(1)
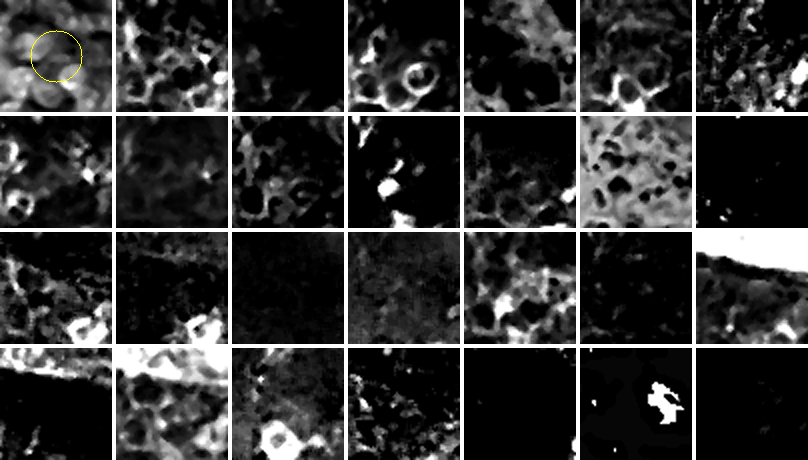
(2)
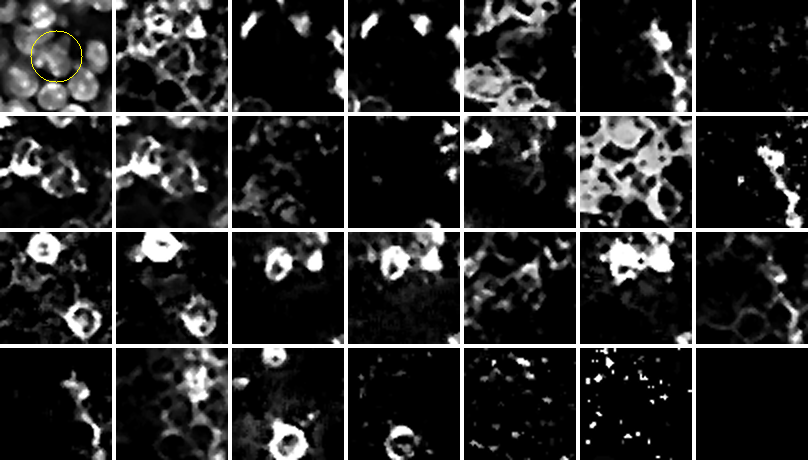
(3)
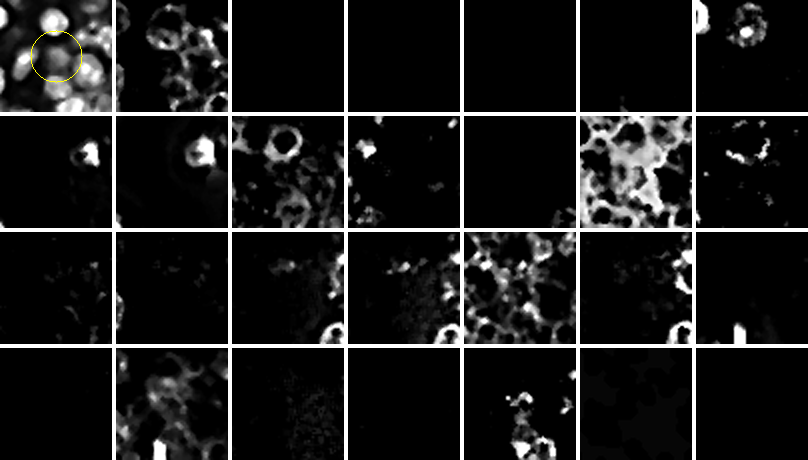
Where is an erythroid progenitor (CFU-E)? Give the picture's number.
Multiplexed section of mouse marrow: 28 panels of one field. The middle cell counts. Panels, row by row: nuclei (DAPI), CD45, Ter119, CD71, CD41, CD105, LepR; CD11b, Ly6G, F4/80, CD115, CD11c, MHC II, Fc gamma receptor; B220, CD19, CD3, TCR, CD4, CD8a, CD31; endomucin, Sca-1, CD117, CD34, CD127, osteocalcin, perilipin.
1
